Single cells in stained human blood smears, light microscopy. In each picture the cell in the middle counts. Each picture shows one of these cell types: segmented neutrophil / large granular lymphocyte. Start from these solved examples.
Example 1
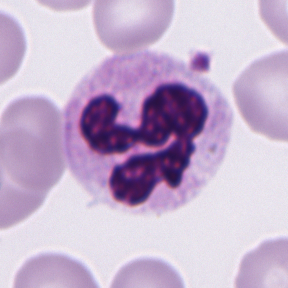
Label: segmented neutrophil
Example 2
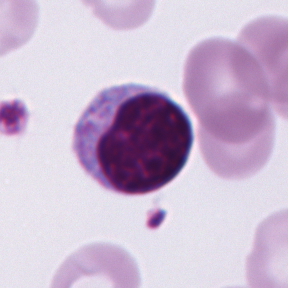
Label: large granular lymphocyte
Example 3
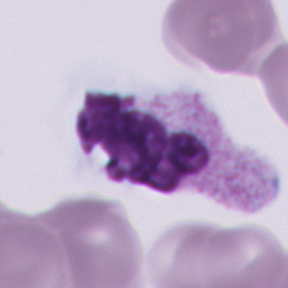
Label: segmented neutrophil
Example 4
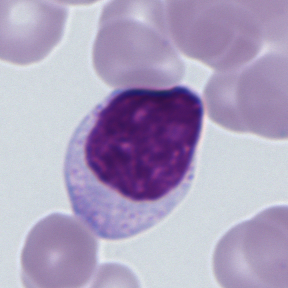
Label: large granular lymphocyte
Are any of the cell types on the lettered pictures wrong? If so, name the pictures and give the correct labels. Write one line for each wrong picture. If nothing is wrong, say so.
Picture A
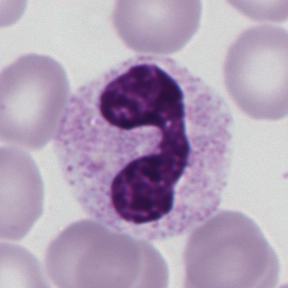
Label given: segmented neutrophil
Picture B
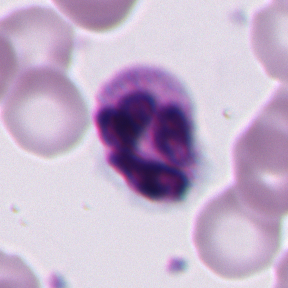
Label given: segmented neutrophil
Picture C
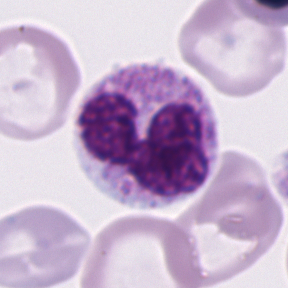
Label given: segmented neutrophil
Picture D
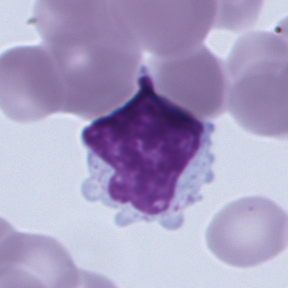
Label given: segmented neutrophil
Wrong: D (segmented neutrophil); correct: large granular lymphocyte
